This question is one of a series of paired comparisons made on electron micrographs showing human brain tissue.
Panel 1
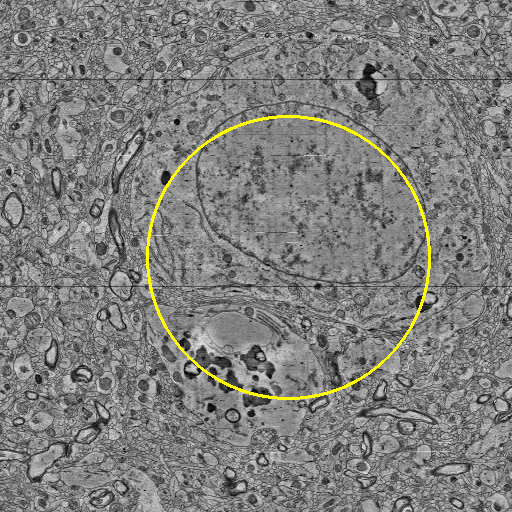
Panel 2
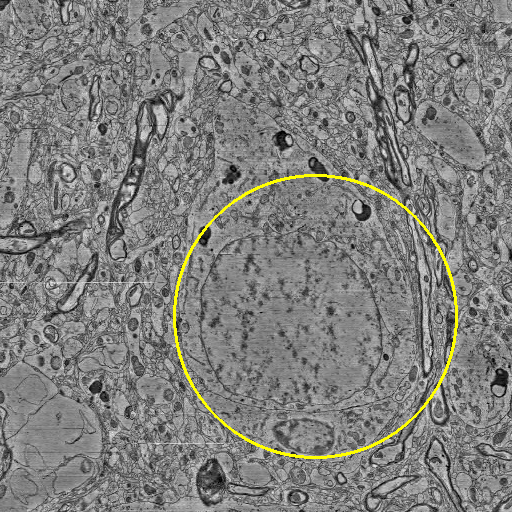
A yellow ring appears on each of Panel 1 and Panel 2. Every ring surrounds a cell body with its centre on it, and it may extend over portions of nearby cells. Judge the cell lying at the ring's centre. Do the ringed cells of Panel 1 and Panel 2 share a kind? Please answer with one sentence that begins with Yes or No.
Yes, the ring-centre cell in Panel 1 and the one in Panel 2 are of one kind.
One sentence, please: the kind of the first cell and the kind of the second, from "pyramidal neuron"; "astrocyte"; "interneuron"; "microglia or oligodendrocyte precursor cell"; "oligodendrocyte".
Each of the two rings is centred on a pyramidal neuron.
